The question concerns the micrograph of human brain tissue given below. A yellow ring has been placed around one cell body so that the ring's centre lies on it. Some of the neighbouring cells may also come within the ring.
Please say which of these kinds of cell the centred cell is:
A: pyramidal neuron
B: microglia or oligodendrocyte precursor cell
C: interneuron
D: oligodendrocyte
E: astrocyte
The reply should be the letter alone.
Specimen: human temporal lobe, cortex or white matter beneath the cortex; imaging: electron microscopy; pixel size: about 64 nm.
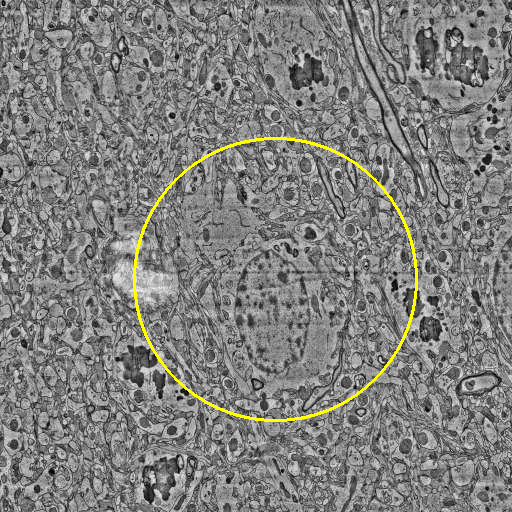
E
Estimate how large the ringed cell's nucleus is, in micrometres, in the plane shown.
In this plane, about 8 by 5 micrometres: the nucleus is clearly longer than it is wide.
